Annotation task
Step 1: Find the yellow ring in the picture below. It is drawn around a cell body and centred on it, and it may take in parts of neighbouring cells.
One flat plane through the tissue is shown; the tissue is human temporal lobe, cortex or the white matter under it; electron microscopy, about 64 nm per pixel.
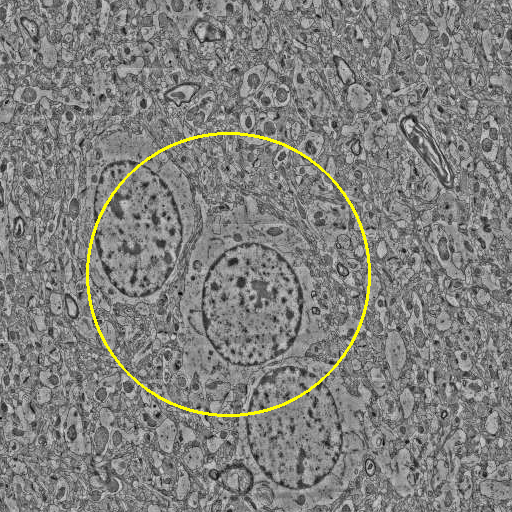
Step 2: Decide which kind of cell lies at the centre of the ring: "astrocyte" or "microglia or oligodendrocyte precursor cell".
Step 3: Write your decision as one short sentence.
The kind of cell at the ring's centre is an astrocyte.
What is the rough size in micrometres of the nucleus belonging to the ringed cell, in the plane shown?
In this plane, approximately 8 by 7 micrometers.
